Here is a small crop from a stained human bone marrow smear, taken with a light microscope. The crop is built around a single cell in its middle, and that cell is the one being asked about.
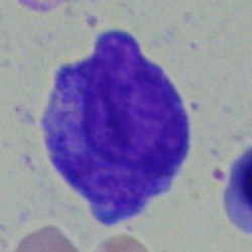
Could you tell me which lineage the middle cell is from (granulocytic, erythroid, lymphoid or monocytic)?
granulocytic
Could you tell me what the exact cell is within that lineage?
myelocyte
